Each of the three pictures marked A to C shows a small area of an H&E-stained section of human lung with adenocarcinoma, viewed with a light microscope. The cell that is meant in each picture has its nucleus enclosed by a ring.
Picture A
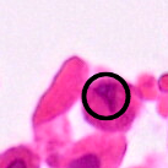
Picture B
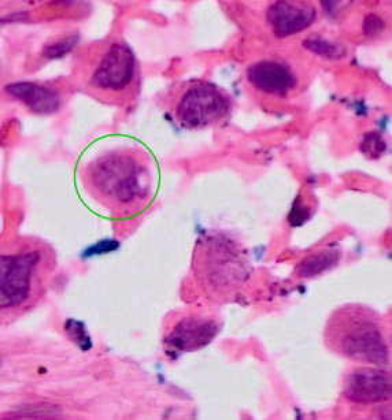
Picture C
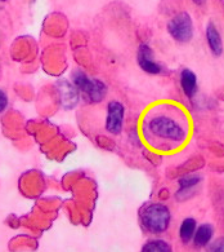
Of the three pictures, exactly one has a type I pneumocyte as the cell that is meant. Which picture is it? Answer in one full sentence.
The cell in picture C is the type I pneumocyte.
